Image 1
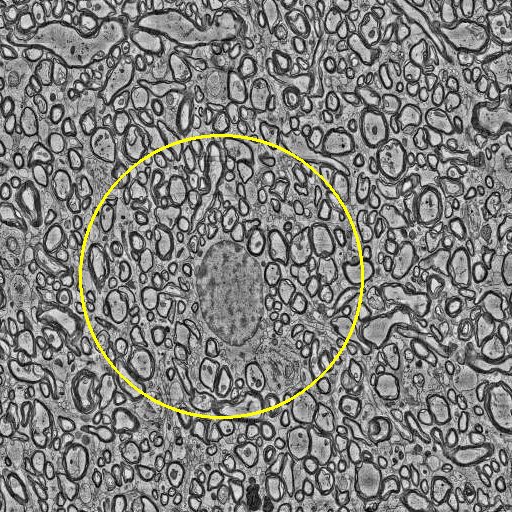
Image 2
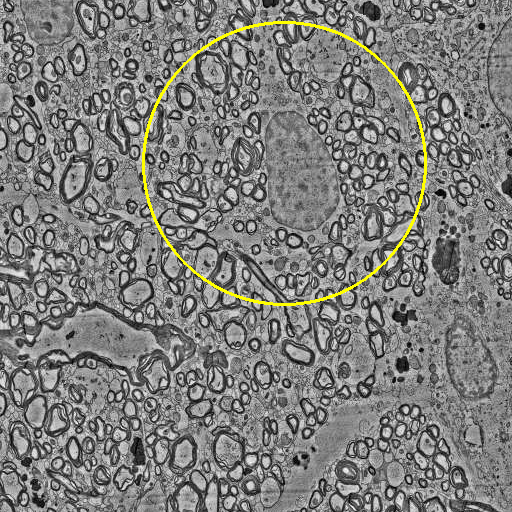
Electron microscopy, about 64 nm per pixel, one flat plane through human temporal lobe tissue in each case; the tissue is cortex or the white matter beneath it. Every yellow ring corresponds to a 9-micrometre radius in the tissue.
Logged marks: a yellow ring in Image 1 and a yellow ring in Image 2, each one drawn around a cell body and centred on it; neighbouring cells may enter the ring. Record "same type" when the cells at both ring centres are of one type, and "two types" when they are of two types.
same type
